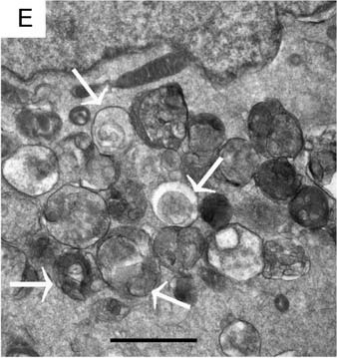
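At high magnification, a patch of cytoplasm is packed with many round membrane-bound vesicles pressed against one another. Their contents differ: some hold pale fluffy material, others dense granular or membranous debris, and a few show a double rim. An elongated organelle with internal folds and part of the nuclear edge are visible toward the top. These content-filled, membrane-bounded vesicles are autophagic vacuoles holding remnants of organelles.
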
